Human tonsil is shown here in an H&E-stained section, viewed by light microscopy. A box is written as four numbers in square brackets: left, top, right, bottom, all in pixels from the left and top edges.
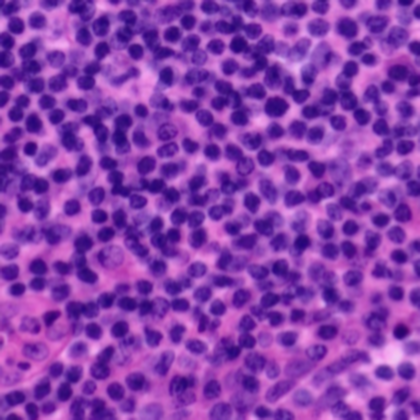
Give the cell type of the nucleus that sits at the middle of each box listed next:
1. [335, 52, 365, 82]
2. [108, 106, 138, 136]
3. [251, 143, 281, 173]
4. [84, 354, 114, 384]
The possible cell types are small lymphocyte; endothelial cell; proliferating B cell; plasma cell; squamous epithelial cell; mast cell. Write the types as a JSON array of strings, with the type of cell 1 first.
["small lymphocyte", "small lymphocyte", "small lymphocyte", "plasma cell"]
